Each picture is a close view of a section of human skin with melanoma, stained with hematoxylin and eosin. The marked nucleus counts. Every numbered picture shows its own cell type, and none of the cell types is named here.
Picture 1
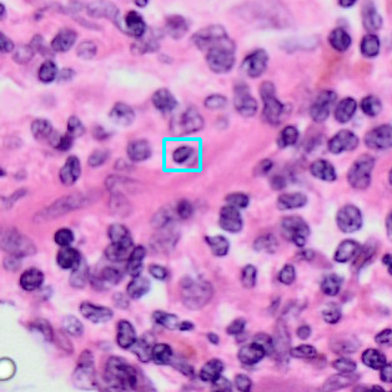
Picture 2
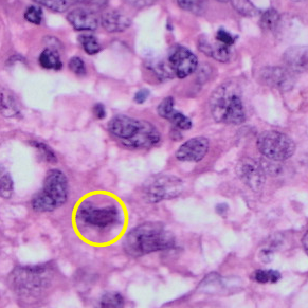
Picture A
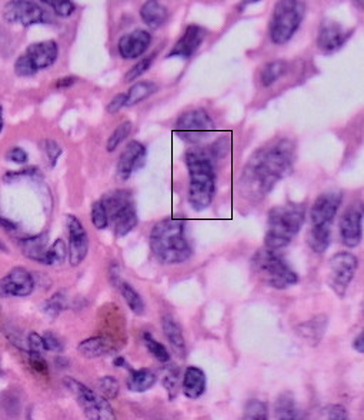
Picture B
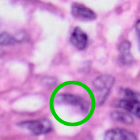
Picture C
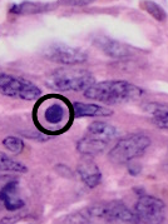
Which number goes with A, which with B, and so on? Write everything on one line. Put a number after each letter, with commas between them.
A 2, B 2, C 1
